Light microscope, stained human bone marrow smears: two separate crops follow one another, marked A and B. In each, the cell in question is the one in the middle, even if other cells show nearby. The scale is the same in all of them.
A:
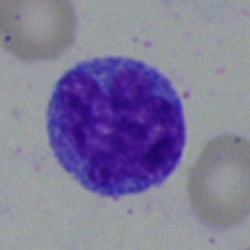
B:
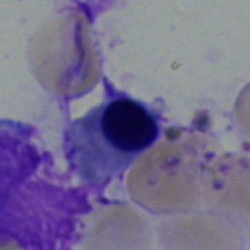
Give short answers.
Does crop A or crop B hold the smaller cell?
B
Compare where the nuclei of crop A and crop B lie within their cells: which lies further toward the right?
B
